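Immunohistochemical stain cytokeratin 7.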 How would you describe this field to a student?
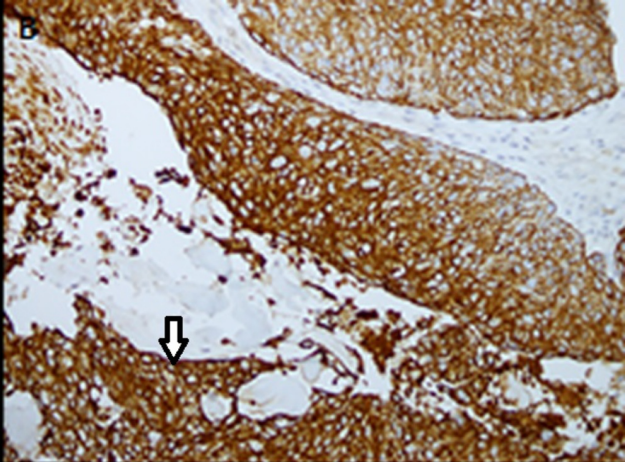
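Tumor cells form broad bands and nests that are stained intensely brown, with the stain outlining individual cells in a mosaic pattern. Pale unstained spaces are scattered within the stained cell masses. Between the nests lies loose pale stroma with sparse blue nuclei that remain unstained.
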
